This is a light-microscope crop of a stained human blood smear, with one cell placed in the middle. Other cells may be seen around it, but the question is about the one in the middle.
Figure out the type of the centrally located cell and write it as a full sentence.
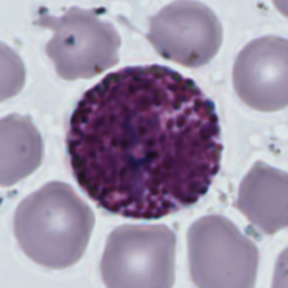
In the middle of this smear crop is a basophil.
